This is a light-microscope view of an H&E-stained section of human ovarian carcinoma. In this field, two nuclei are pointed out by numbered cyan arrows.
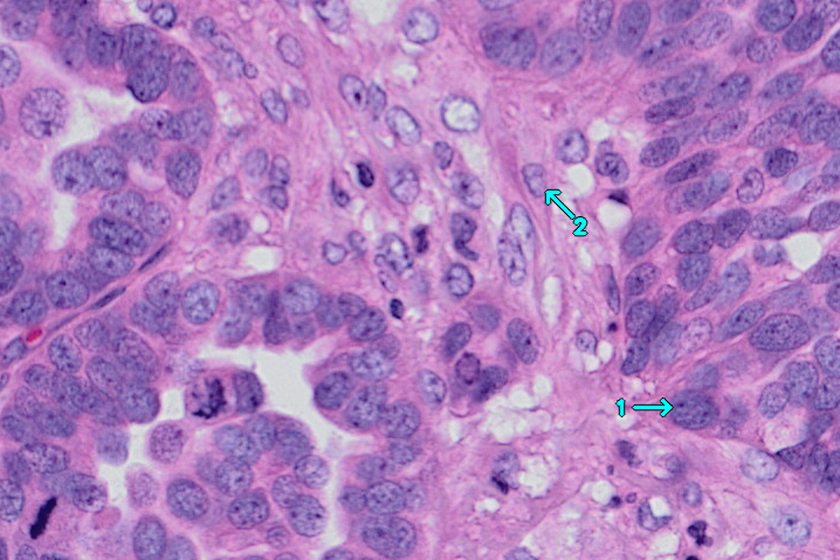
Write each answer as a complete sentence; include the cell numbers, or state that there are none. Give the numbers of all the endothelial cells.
The numbered cells and the endothelial cells have no member in common.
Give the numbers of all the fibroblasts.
Of the numbered cells, only cell 2 is a fibroblast.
